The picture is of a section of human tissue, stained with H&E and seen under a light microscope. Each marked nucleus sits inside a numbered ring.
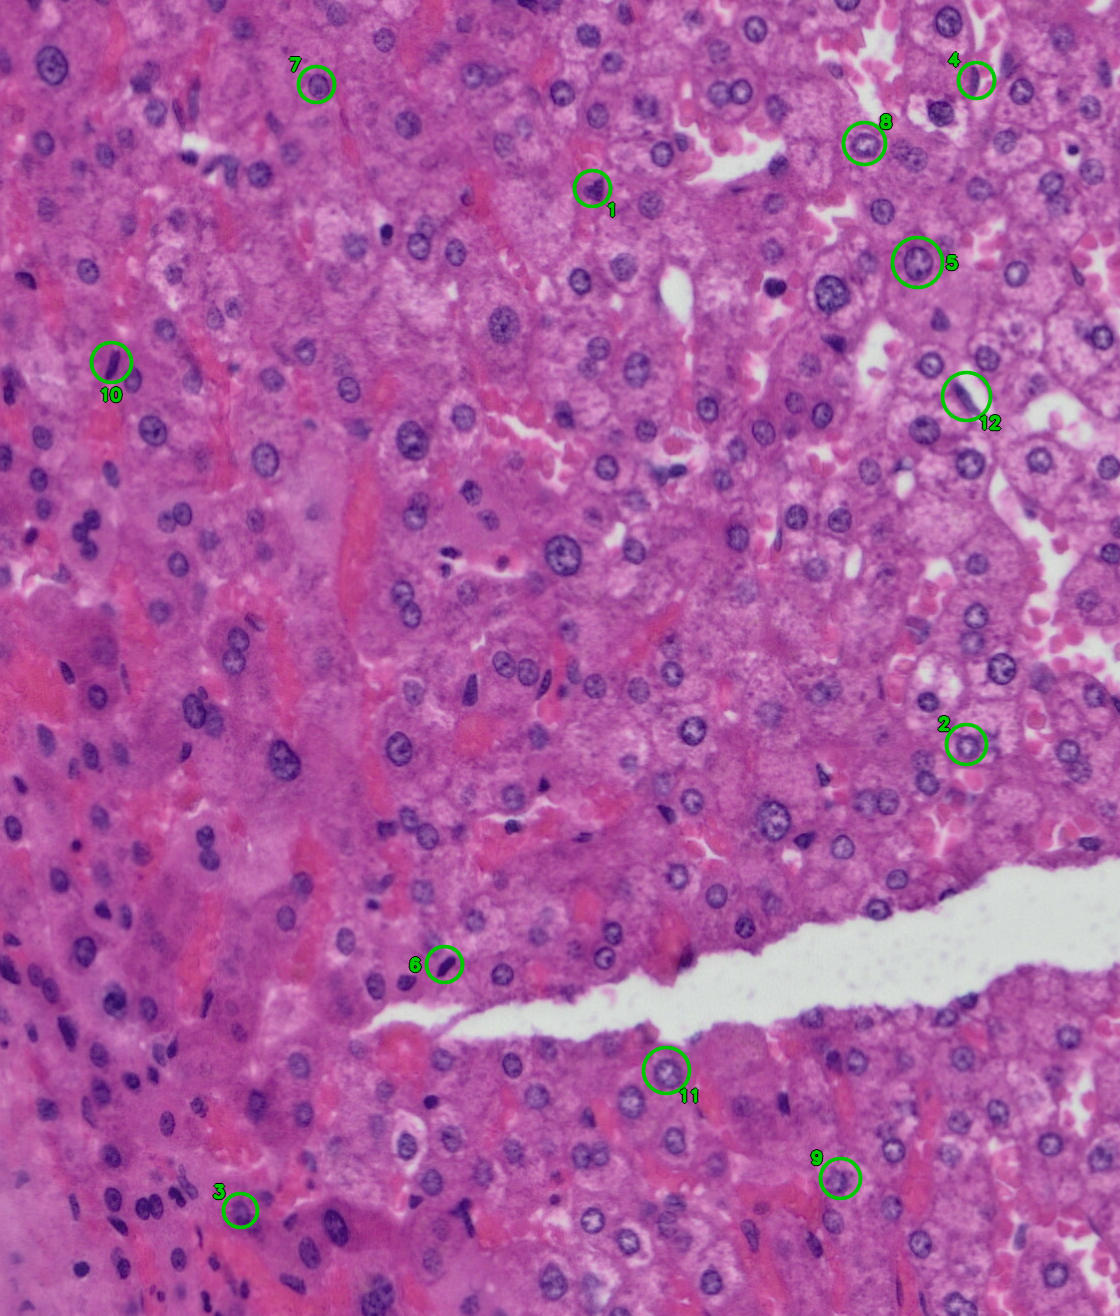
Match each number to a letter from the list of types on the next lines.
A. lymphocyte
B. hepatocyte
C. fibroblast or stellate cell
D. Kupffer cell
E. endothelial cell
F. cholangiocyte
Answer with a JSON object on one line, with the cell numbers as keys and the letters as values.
{"1": "C", "2": "B", "3": "B", "4": "E", "5": "B", "6": "C", "7": "B", "8": "B", "9": "B", "10": "C", "11": "B", "12": "D"}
